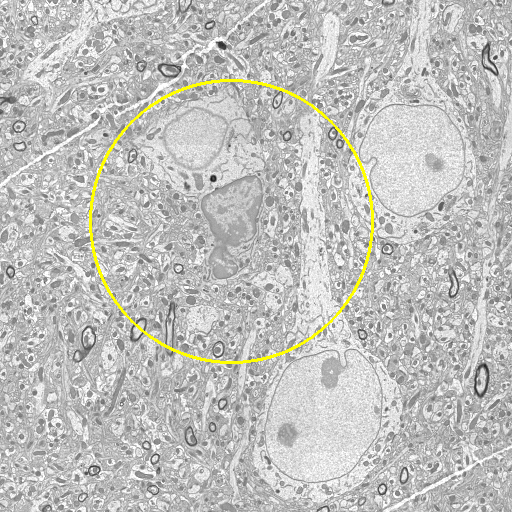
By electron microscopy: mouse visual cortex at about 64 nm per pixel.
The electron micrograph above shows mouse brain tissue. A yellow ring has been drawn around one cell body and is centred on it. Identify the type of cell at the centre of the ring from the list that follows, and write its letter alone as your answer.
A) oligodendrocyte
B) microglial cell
B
